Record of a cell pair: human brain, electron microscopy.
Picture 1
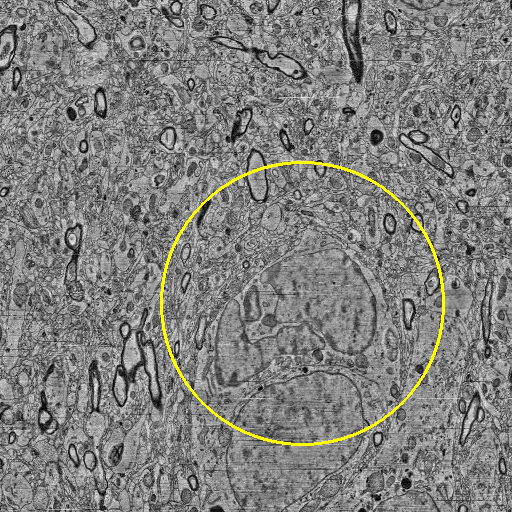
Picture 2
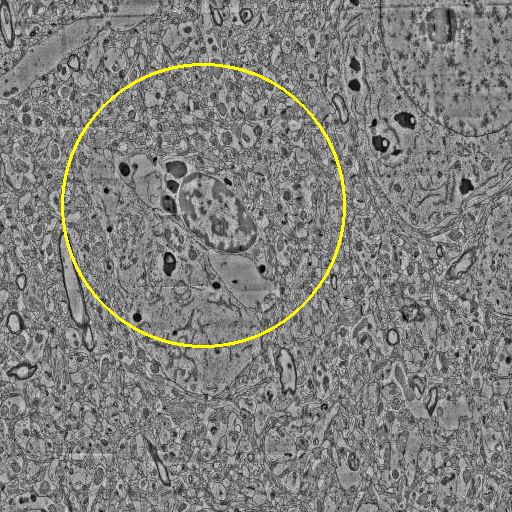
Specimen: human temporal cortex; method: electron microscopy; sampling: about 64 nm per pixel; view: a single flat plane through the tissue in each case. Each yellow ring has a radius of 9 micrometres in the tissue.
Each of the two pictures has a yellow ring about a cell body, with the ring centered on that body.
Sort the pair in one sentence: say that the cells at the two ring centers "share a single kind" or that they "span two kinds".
The cells centered in the rings of Pictures 1 and 2 share a single kind.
